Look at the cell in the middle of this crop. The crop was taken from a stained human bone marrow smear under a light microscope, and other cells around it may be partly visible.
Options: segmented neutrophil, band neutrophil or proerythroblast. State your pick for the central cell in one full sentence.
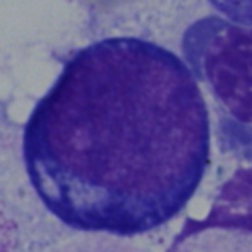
What the crop centres on is a proerythroblast.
